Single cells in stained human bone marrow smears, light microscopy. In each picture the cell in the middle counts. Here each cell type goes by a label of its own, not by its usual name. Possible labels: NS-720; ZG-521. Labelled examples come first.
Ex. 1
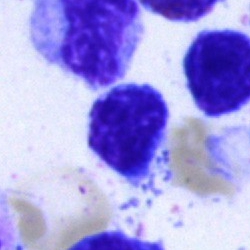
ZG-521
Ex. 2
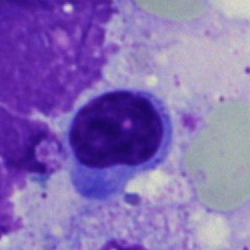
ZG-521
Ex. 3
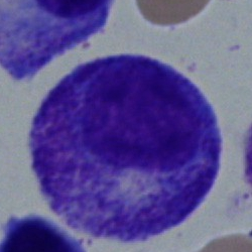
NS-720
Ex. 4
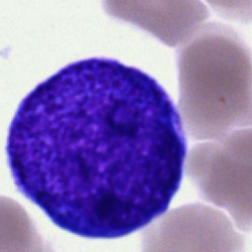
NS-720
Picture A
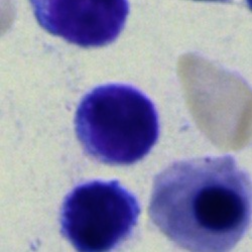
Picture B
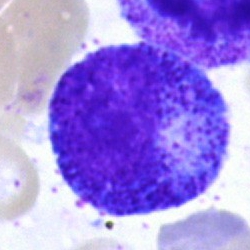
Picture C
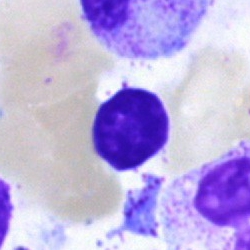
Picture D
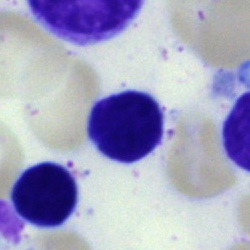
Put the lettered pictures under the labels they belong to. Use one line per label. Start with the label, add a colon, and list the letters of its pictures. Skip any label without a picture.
NS-720: B
ZG-521: A, C, D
